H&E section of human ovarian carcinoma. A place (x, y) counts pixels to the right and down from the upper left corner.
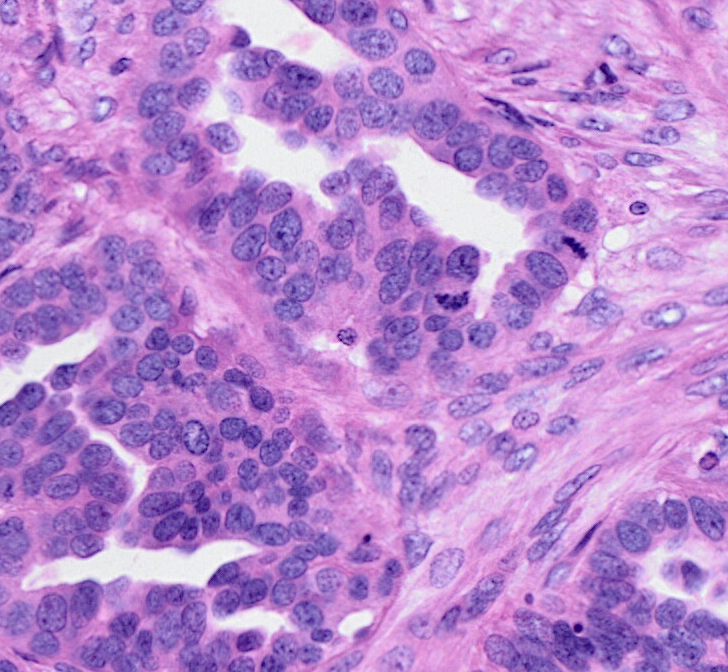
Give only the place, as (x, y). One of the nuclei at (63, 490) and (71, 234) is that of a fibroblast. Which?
(71, 234)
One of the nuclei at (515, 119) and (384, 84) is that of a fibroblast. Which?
(515, 119)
